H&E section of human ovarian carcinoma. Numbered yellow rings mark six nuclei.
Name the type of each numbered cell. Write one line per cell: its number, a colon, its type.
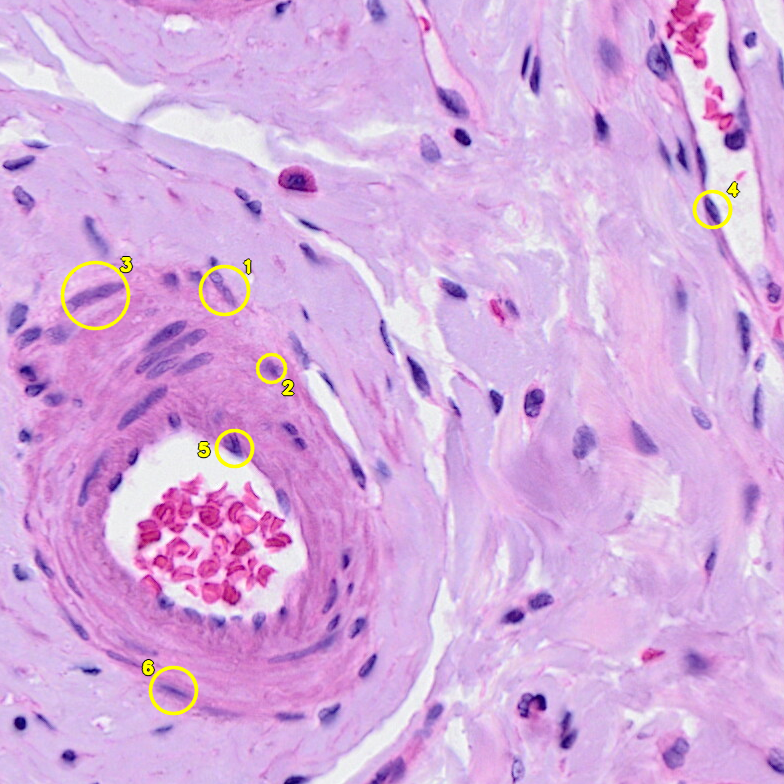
1: smooth muscle cell
2: smooth muscle cell
3: smooth muscle cell
4: endothelial cell
5: endothelial cell
6: smooth muscle cell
